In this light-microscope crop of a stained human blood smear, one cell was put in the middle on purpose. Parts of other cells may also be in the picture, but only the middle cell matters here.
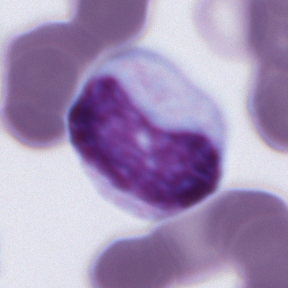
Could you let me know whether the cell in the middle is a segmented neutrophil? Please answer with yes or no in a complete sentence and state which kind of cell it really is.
No, mark the middle cell as a band neutrophil, not a segmented neutrophil.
